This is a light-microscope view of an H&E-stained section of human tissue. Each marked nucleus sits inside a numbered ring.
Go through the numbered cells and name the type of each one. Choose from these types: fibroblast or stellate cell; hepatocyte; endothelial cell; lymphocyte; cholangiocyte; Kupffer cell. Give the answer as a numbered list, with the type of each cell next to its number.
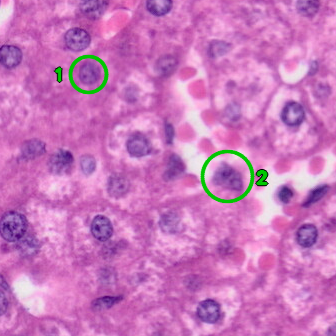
1. hepatocyte
2. Kupffer cell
